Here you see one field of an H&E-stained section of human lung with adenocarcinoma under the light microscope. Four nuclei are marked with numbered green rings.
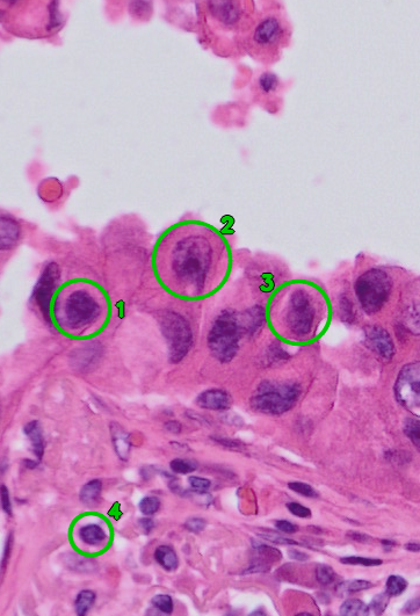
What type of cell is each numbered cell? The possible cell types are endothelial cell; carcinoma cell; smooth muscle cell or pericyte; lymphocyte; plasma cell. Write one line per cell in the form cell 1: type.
cell 1: carcinoma cell
cell 2: carcinoma cell
cell 3: carcinoma cell
cell 4: lymphocyte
